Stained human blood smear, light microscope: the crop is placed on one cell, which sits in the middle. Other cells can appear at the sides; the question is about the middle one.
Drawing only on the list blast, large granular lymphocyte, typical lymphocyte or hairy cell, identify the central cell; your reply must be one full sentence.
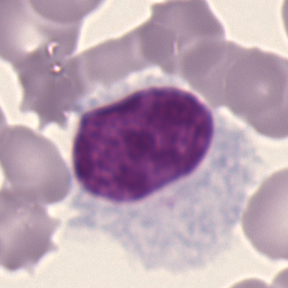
The cell at the central position in this crop is a hairy cell.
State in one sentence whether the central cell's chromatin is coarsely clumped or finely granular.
In this cell the chromatin is fine rather than coarsely clumped.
